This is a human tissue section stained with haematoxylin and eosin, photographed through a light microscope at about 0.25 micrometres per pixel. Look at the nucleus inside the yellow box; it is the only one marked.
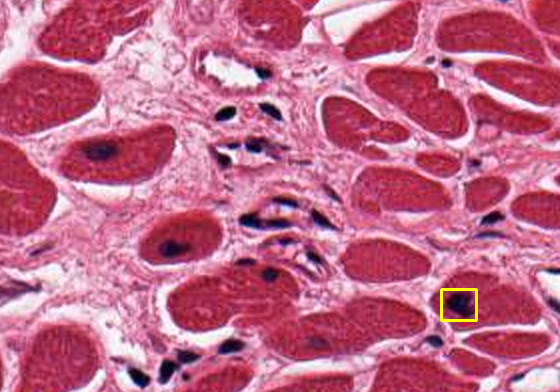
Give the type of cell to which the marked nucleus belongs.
cardiomyocyte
